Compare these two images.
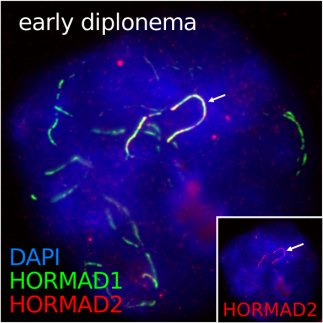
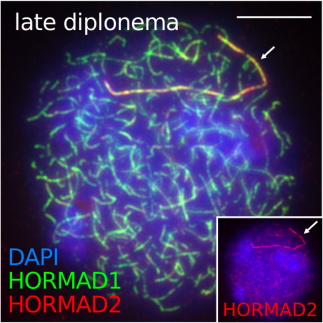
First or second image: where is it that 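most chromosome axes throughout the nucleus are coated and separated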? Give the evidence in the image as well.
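The second image. Second image: green threads cover nearly the whole nucleus. First image: only scattered short green segments besides the bright yellow axis.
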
